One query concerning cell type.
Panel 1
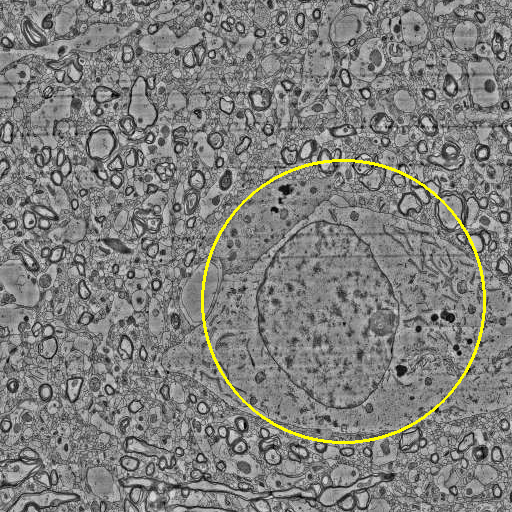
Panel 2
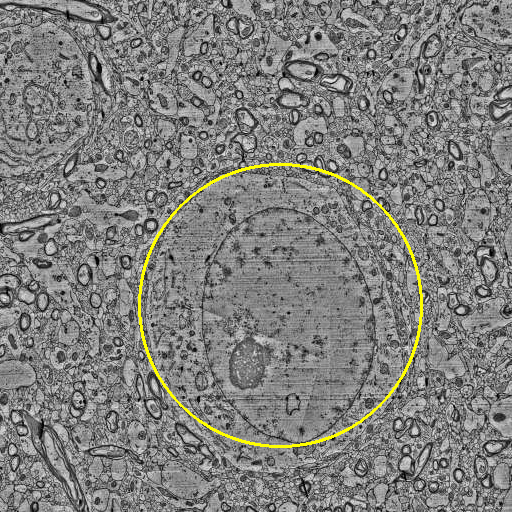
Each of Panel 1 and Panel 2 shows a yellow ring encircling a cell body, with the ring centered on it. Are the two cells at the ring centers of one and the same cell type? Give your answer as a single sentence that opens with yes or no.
Yes, the cell centered in Panel 1 and the one in Panel 2 share a type.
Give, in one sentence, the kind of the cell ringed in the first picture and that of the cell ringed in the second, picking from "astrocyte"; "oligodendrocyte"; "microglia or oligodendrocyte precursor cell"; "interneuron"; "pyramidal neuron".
Each of the two cells is a pyramidal neuron.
